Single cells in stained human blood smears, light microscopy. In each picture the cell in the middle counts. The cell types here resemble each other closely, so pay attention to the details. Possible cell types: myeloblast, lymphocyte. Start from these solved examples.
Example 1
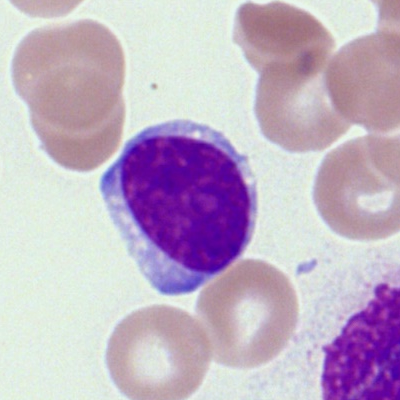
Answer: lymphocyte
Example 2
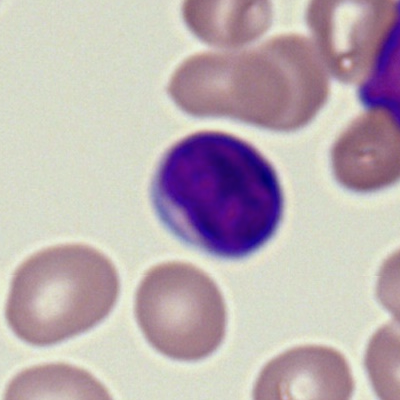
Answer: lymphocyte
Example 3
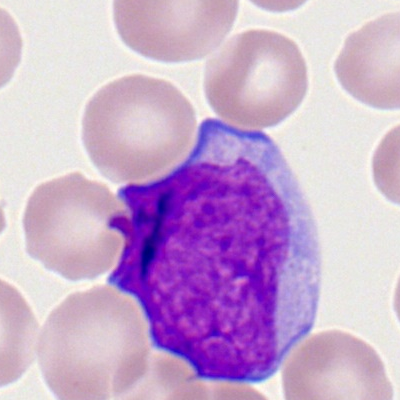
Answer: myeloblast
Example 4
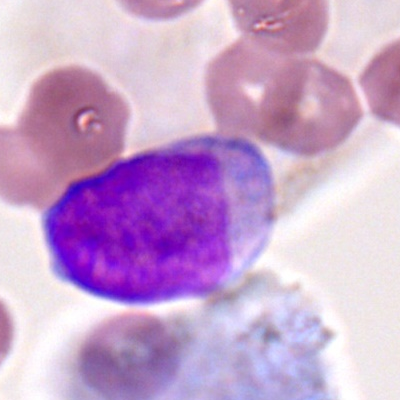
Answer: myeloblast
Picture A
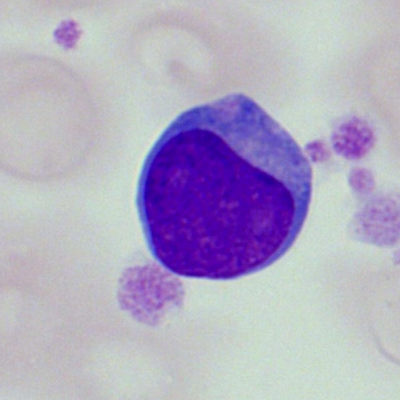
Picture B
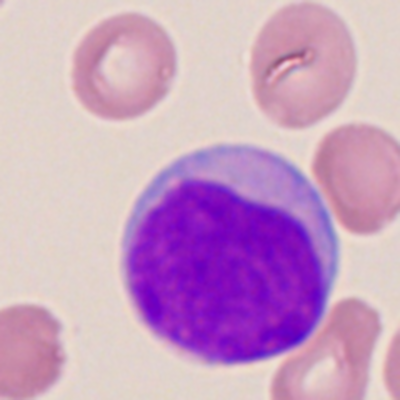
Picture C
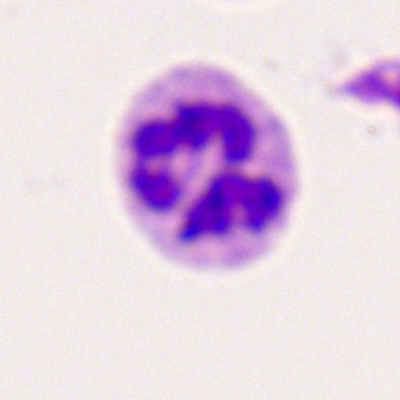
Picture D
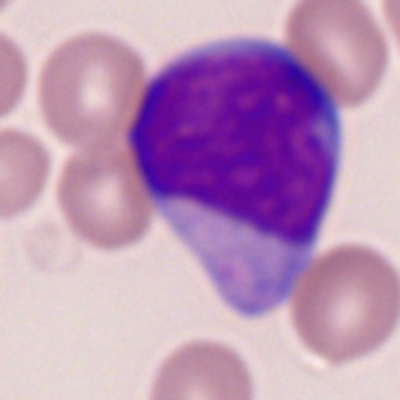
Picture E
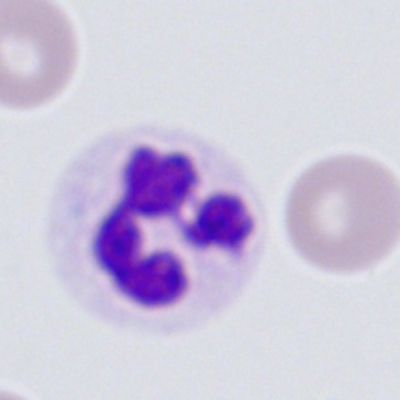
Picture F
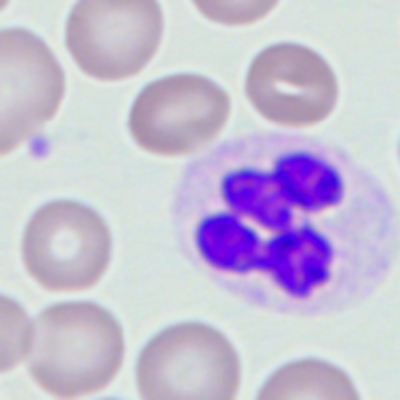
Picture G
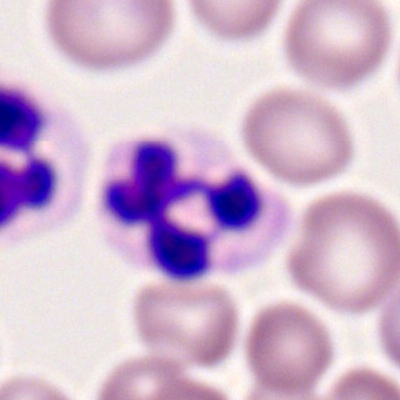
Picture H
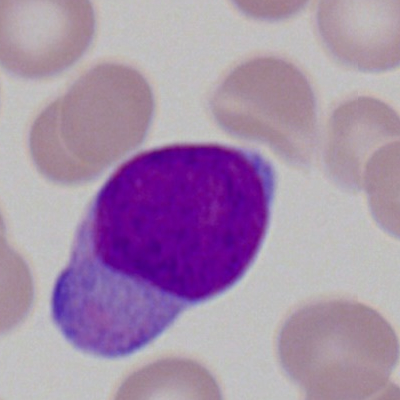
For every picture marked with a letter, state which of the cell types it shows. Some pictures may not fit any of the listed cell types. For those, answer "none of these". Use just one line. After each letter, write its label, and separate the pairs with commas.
A myeloblast, B myeloblast, C none of these, D myeloblast, E none of these, F none of these, G none of these, H myeloblast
